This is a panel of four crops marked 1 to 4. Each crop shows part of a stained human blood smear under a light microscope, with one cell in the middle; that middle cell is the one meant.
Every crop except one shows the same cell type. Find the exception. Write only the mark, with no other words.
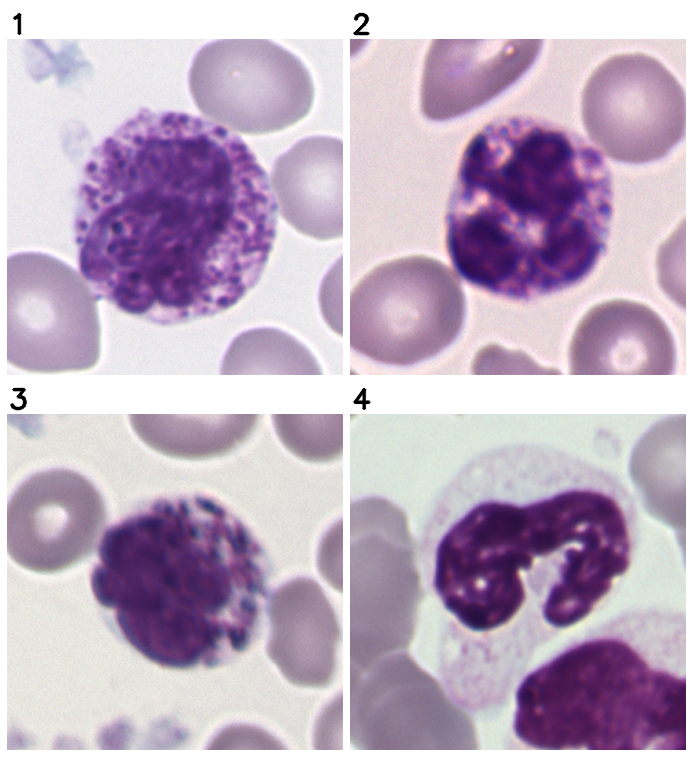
4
